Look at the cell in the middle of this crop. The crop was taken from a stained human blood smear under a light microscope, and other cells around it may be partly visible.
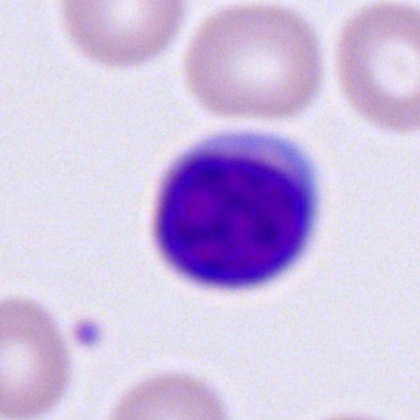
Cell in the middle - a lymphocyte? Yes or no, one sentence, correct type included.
Yes, the cell here in the middle is a lymphocyte.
